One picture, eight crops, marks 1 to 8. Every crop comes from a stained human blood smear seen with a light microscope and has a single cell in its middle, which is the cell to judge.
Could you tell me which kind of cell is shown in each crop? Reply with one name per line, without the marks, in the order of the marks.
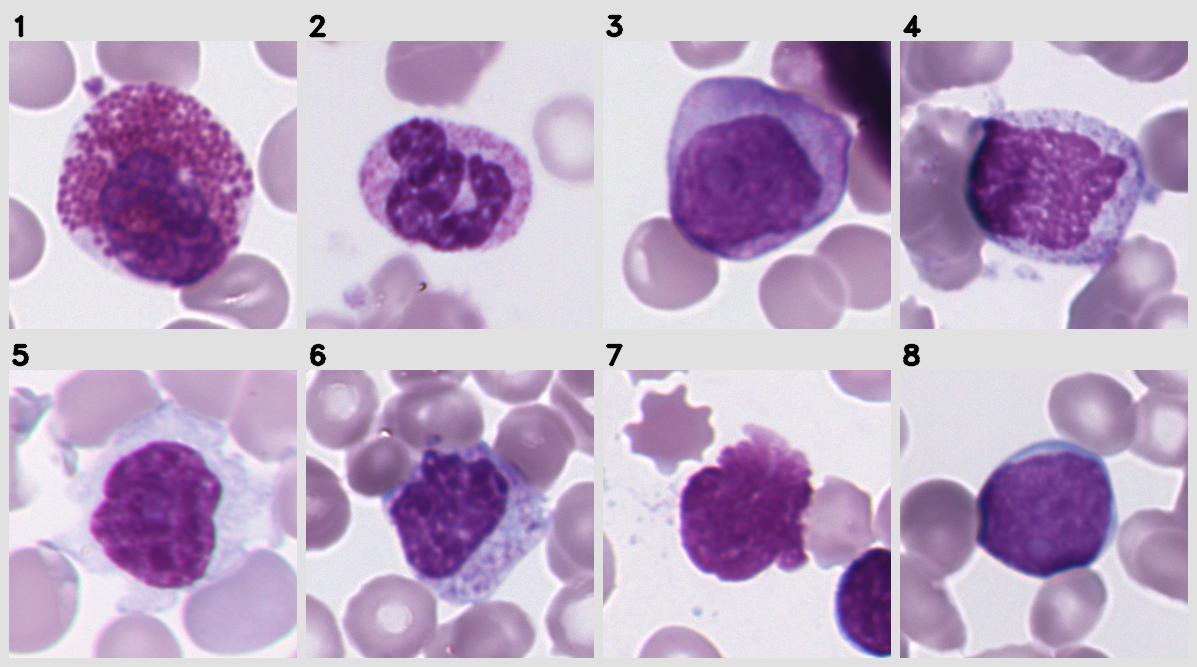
eosinophil
segmented neutrophil
atypical promyelocyte
myelocyte
hairy cell
myelocyte
smudge cell
myeloblast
